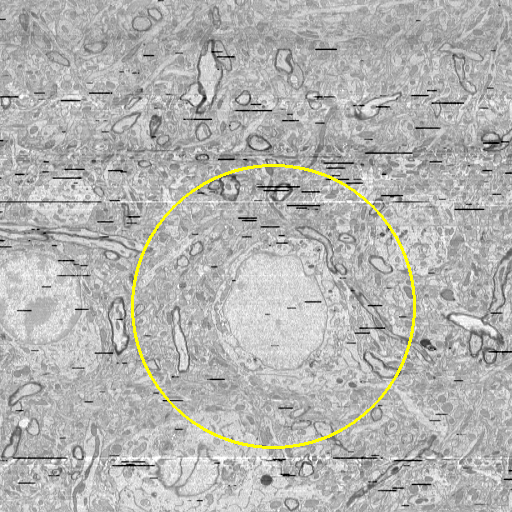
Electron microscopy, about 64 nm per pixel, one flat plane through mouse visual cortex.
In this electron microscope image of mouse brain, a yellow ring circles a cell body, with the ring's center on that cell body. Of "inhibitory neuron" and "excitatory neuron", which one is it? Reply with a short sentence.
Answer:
It is an inhibitory neuron at the center of the ring.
